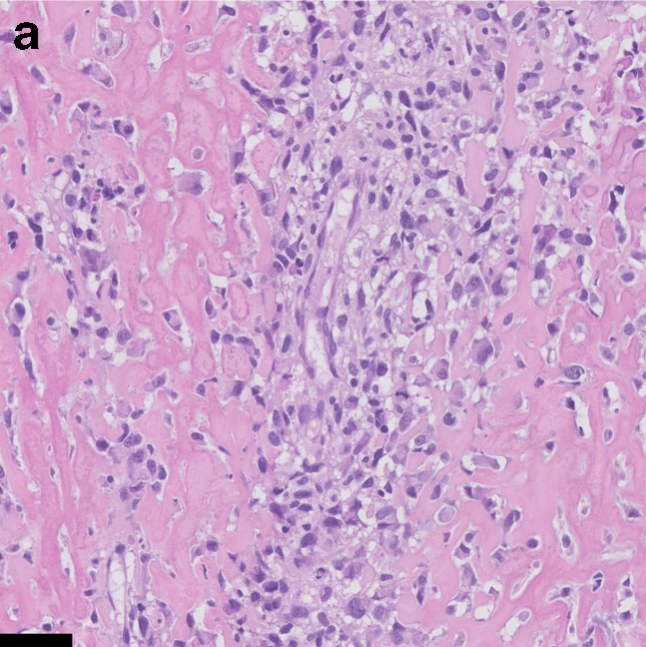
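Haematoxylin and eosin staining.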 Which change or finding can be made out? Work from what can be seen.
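Conventional osteoblastic osteosarcoma. Crowded cells with enlarged, dark, irregular nuclei. Nuclei vary in size and shape. The cells are set among lace-like pink matrix.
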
